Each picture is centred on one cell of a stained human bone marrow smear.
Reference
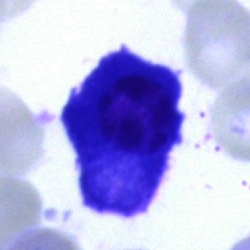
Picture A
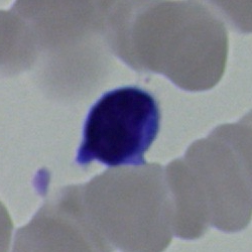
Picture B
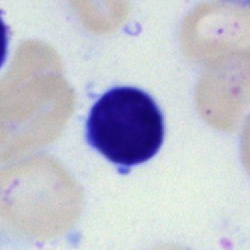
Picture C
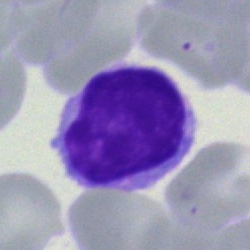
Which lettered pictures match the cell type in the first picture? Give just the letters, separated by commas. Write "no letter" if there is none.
no letter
